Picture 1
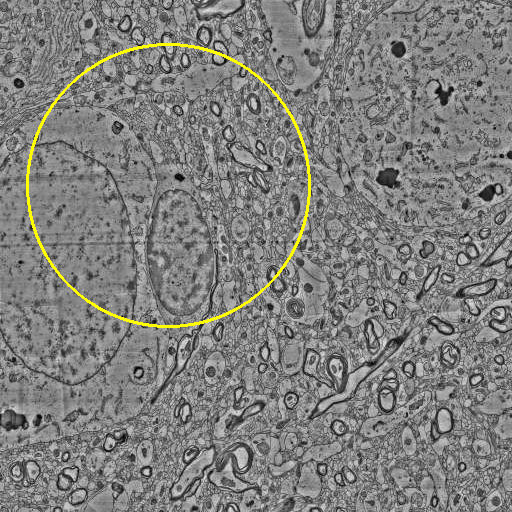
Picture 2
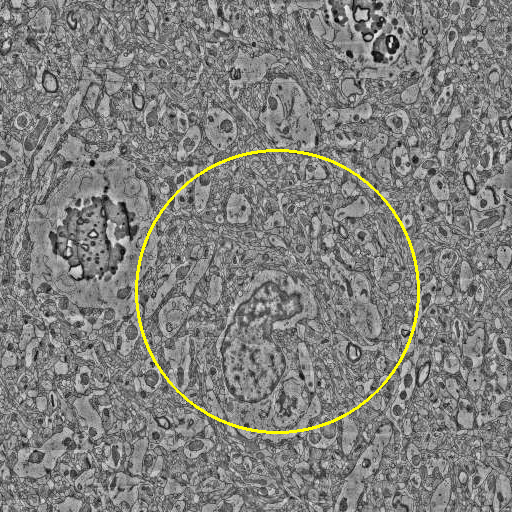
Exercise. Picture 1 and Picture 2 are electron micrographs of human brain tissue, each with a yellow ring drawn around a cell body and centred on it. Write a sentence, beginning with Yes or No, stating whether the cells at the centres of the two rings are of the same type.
No, the cells at the centres of the rings are of two types.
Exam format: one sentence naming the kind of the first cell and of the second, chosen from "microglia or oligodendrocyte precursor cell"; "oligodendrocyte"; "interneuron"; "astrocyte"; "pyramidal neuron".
The first picture's cell is an oligodendrocyte, and the second picture's cell is a microglial cell or oligodendrocyte precursor cell.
